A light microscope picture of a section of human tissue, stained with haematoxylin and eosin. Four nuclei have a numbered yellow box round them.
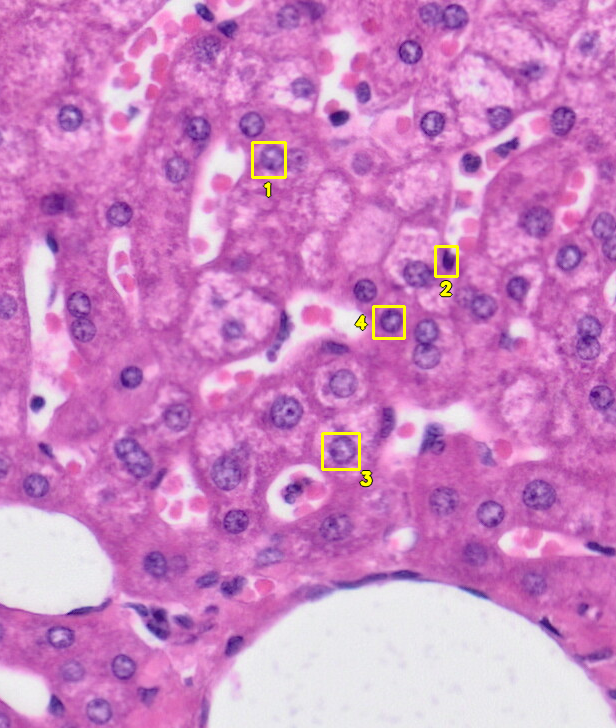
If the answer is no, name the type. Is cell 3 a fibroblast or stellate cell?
No, it is a hepatocyte.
